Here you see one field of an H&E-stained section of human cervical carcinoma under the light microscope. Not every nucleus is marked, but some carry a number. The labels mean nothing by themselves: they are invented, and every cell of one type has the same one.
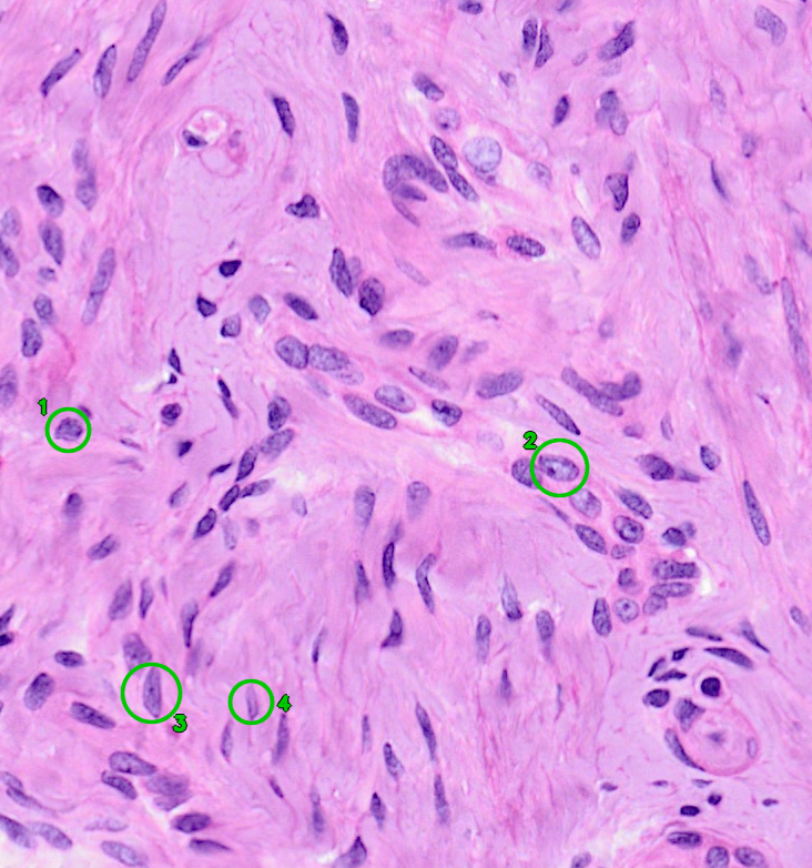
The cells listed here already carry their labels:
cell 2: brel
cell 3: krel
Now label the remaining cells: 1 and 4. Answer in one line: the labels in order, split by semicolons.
krel; krel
